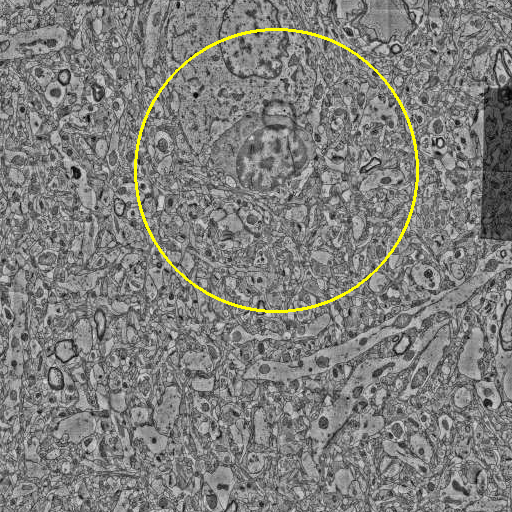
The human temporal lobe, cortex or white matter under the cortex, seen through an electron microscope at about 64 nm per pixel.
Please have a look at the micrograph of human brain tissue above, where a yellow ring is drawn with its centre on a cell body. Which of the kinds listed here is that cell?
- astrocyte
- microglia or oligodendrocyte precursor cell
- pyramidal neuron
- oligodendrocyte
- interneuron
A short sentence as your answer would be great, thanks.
At the centre of the ring sits an oligodendrocyte.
